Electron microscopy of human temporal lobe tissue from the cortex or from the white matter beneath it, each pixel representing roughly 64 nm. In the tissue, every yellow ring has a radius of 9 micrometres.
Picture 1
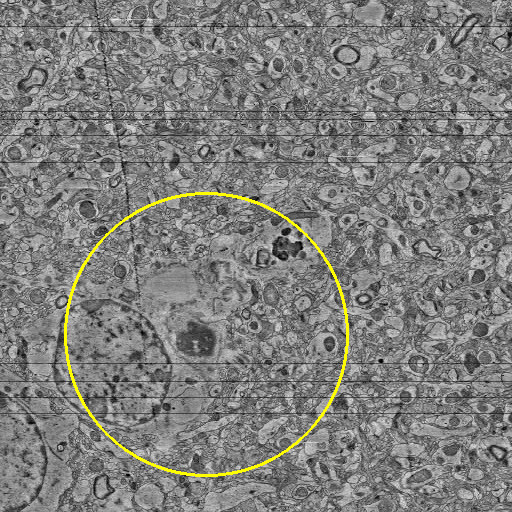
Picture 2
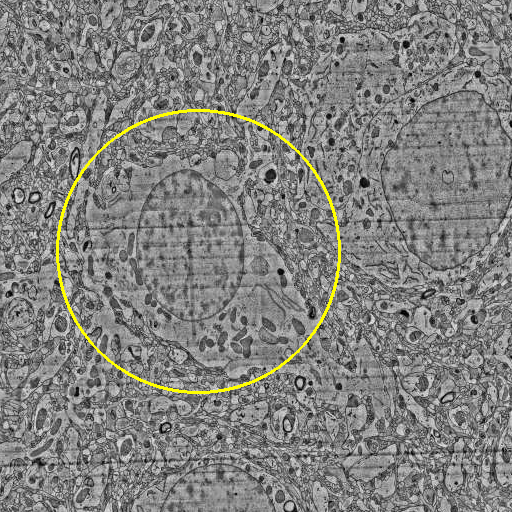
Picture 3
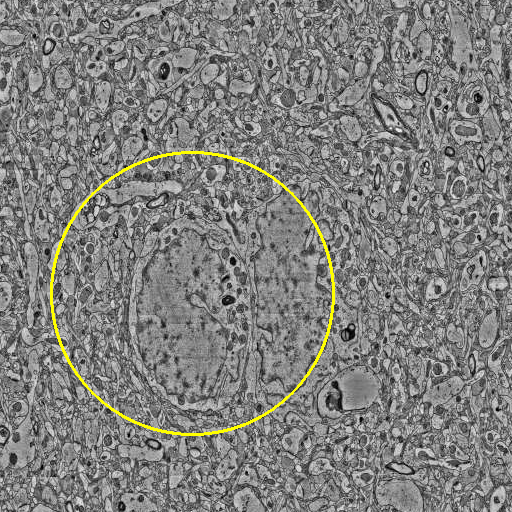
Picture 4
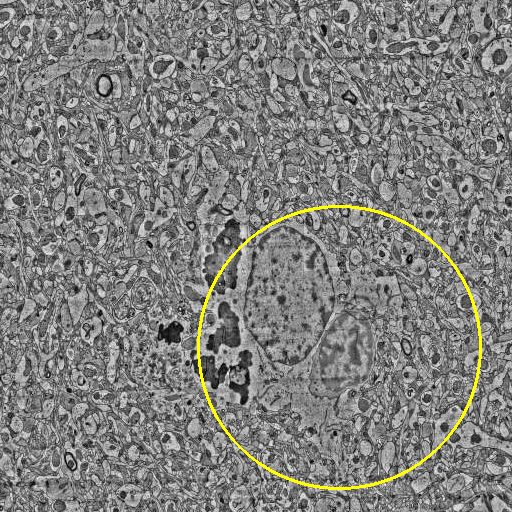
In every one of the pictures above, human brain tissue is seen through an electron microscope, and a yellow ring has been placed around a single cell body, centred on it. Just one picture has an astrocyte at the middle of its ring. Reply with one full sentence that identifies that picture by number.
It is picture 2 that shows the wanted cell at its ring's centre.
